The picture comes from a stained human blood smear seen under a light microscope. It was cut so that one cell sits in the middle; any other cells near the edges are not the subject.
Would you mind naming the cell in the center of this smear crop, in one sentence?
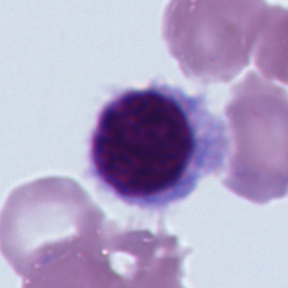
The cell at the middle of the frame should be recorded as a hairy cell.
